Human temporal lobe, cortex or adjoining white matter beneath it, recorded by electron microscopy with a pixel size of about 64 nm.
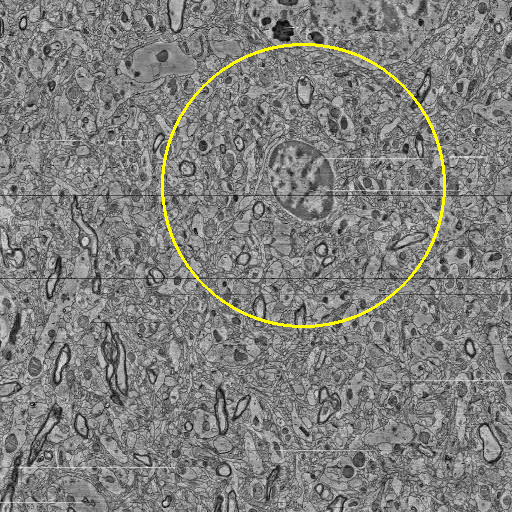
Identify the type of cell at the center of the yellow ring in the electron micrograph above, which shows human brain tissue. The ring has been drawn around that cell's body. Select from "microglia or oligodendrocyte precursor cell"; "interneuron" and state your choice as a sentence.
The yellow ring is centered on the body of a microglial cell or oligodendrocyte precursor cell.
